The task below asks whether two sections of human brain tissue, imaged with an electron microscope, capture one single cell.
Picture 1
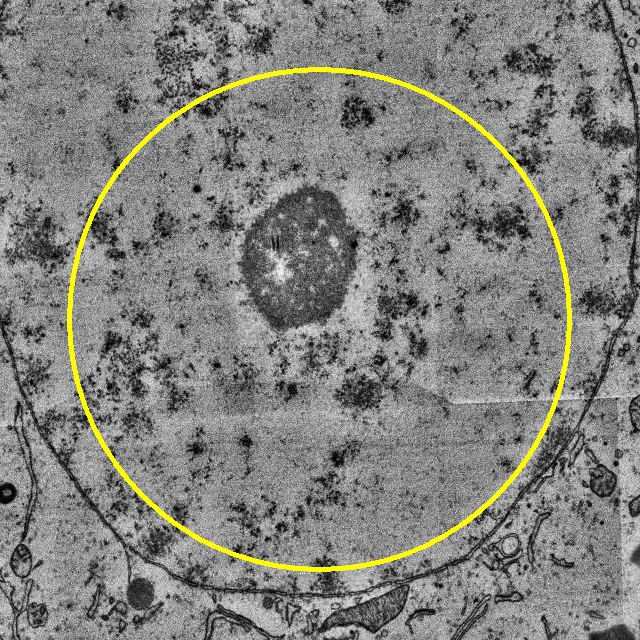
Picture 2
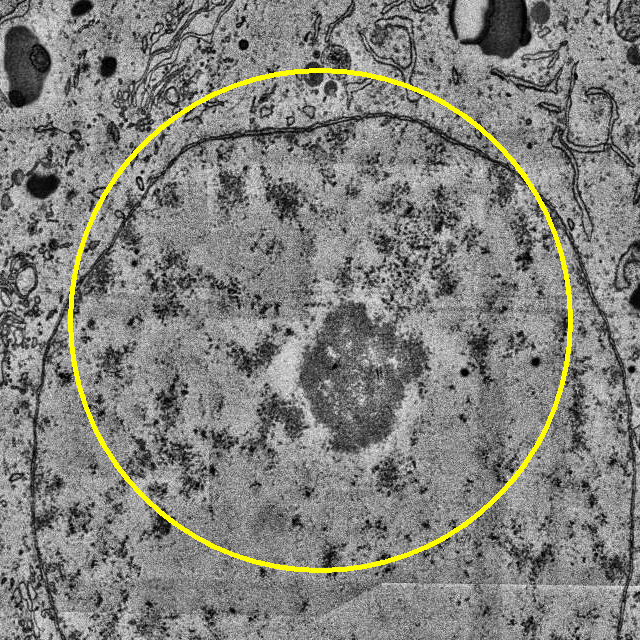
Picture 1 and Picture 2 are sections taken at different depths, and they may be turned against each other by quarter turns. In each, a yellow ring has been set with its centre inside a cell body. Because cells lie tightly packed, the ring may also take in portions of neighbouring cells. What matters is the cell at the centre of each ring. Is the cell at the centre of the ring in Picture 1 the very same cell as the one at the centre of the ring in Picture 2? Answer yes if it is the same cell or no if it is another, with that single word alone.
yes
